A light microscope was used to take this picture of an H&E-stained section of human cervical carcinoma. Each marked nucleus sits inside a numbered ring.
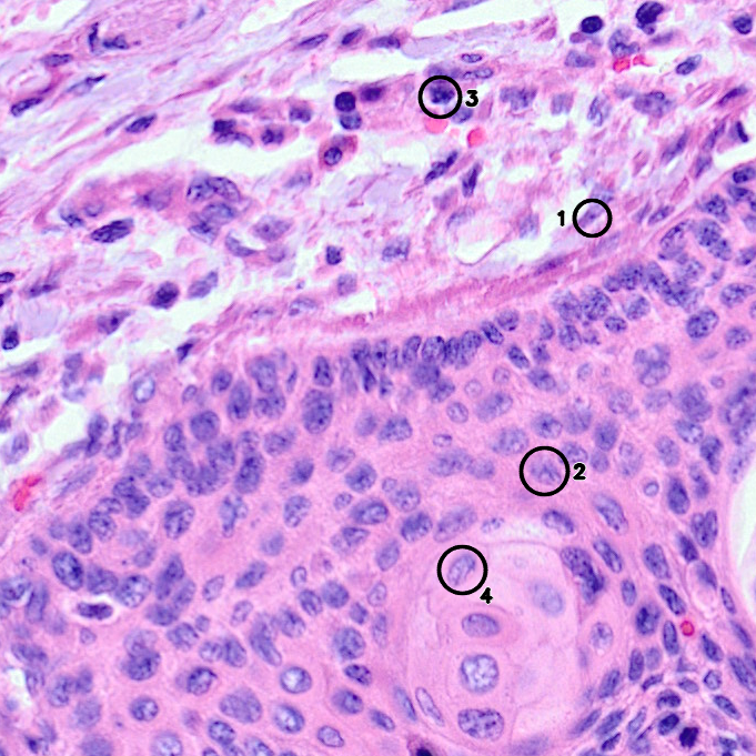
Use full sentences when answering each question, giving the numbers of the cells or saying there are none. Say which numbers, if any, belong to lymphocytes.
In contrast to the remaining marked cells, cell 3 is a lymphocyte.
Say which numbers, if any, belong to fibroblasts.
The sole numbered cell that is a fibroblast is cell 1.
